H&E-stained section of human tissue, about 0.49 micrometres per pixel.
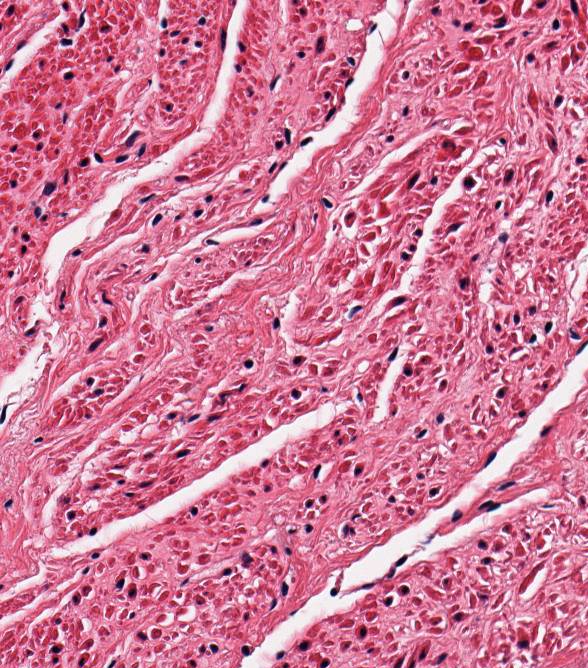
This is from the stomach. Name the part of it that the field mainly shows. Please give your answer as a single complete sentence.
This tissue section is a view of smooth muscle.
